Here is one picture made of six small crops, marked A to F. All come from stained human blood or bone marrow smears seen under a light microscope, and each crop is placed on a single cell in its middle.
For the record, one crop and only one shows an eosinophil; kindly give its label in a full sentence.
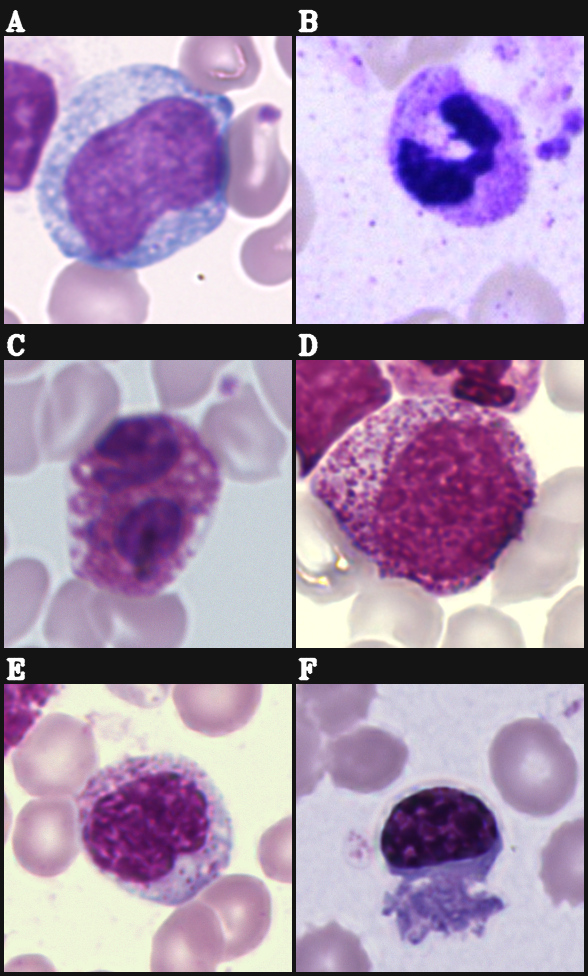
The crop that shows an eosinophil is crop C.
